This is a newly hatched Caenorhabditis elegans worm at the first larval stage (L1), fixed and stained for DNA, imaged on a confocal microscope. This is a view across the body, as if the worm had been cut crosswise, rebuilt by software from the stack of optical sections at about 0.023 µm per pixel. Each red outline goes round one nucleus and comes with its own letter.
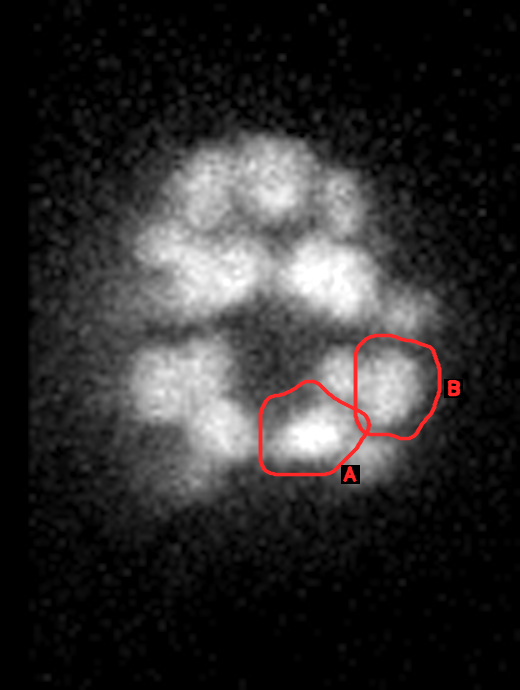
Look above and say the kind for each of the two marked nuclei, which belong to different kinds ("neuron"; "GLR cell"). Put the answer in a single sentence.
B belongs to a neuron, and A to a GLR cell.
